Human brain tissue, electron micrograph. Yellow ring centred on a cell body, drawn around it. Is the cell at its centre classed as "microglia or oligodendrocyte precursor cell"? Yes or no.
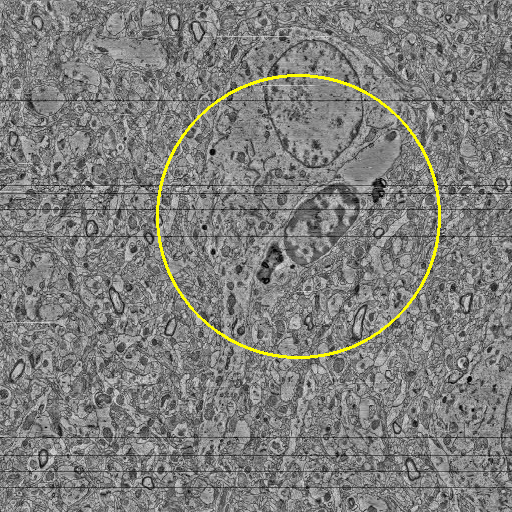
Yes, it is classed as that.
